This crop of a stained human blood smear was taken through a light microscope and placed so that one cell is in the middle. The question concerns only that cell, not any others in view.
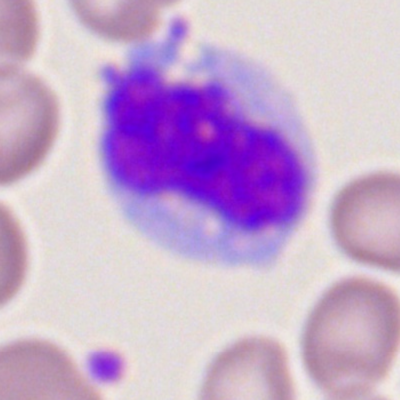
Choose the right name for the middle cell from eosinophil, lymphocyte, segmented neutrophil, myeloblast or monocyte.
monocyte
